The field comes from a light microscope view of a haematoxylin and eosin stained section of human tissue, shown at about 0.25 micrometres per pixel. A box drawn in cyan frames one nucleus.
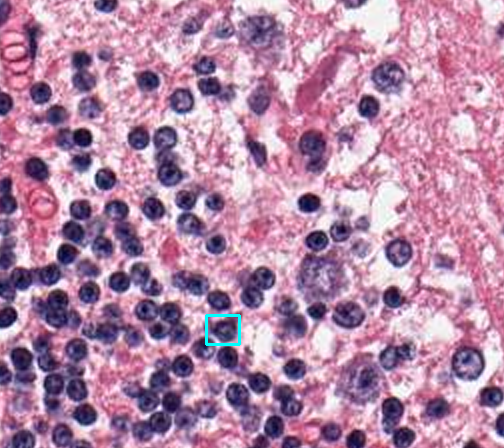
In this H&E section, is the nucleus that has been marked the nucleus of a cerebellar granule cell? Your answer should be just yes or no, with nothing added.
yes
